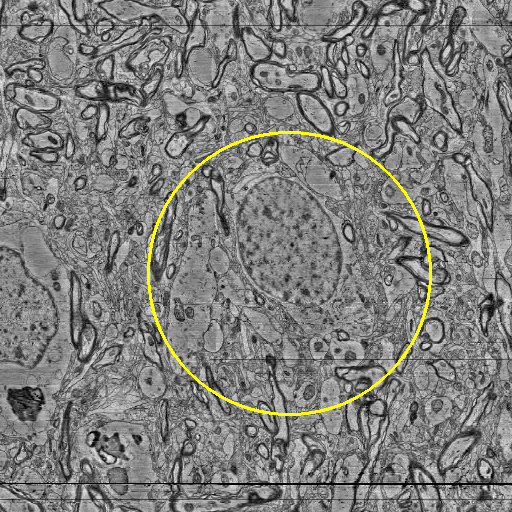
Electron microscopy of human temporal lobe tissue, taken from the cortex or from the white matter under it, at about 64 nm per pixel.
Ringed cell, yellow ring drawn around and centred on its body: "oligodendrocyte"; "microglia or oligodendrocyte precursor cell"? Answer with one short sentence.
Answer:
This ringed cell is a microglial cell or oligodendrocyte precursor cell.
